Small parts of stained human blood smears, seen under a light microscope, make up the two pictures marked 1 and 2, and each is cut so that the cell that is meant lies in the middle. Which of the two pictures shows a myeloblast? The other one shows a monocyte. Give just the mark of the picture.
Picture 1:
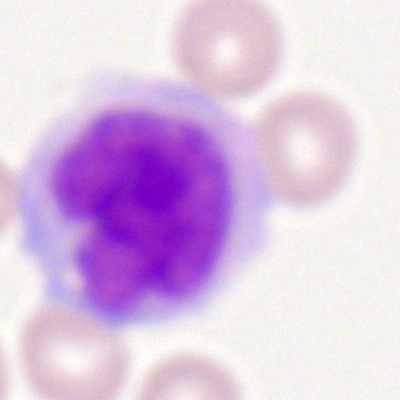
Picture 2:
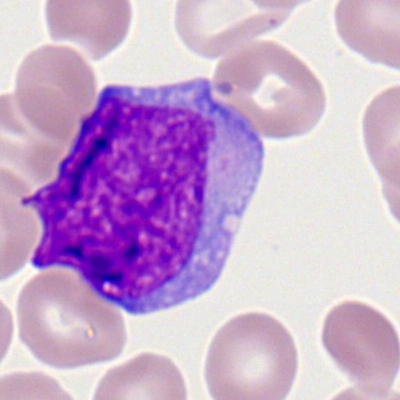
2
